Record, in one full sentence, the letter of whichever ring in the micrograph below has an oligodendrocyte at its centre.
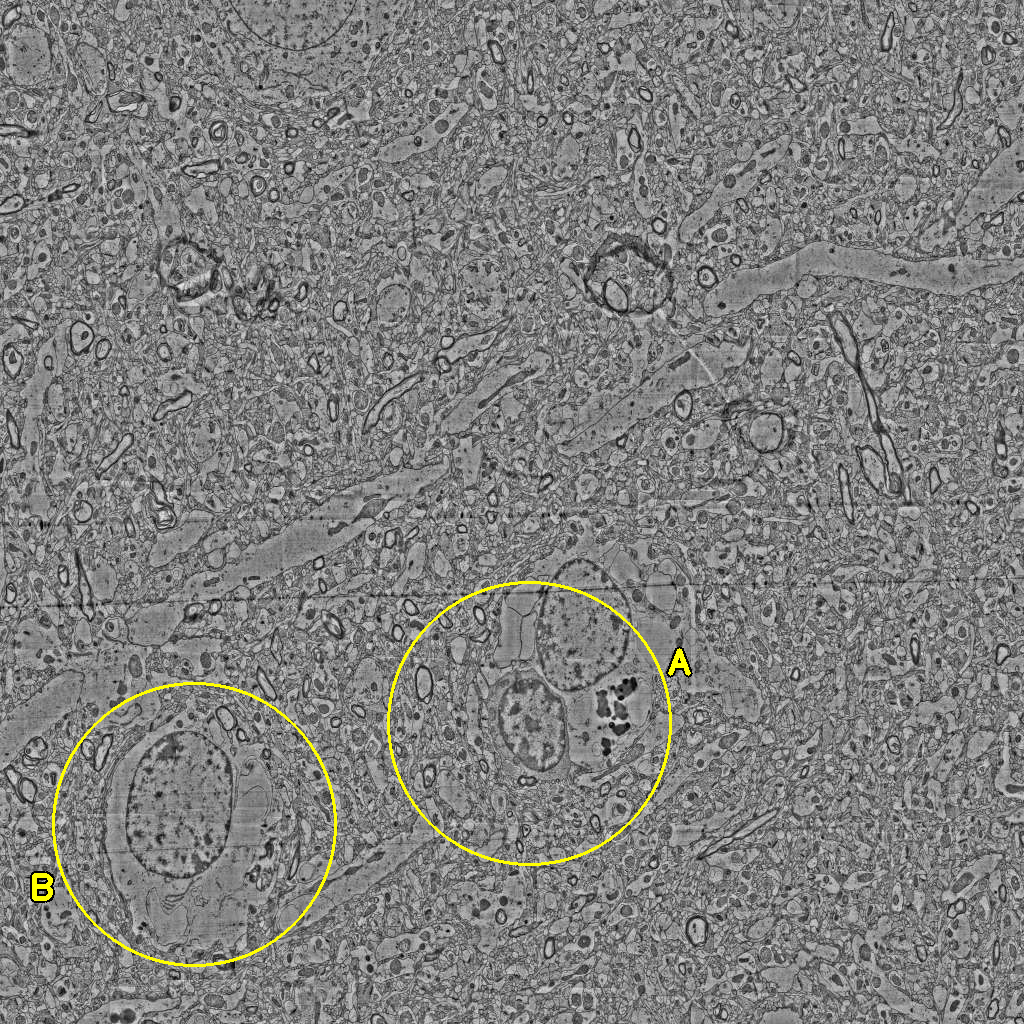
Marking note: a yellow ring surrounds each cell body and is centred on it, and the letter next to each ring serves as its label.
For the cell asked for, the ring centred on it carries the letter A.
